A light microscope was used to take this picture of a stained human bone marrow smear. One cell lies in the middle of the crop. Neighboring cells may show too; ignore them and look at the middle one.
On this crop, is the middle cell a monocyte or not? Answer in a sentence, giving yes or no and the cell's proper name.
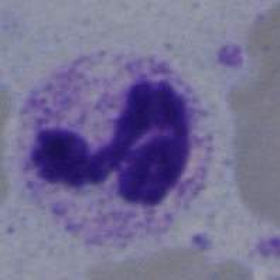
No, the one in the center is not a monocyte; it is a segmented neutrophil.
